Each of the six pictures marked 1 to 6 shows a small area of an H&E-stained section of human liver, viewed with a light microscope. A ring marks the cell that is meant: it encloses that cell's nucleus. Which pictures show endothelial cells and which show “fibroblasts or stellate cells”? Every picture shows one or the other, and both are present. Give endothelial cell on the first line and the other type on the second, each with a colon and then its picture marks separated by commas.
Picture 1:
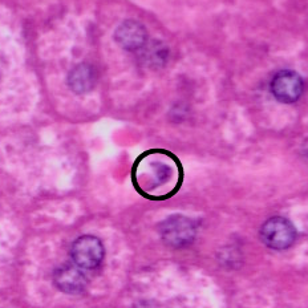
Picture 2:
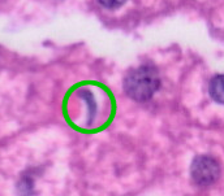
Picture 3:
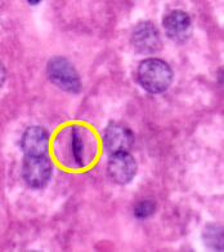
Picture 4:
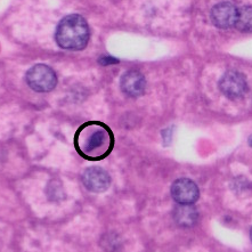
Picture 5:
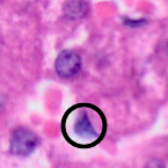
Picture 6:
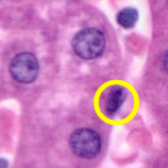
endothelial cell: 1, 2, 5
fibroblast or stellate cell: 3, 4, 6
